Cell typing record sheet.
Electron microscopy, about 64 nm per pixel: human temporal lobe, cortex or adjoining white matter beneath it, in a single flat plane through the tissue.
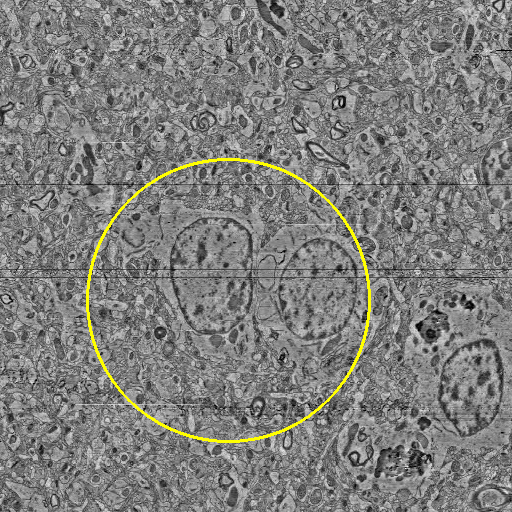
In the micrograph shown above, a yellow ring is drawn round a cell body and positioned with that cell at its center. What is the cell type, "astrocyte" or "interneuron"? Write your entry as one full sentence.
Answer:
The cell body at the center of the ring belongs to an astrocyte.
